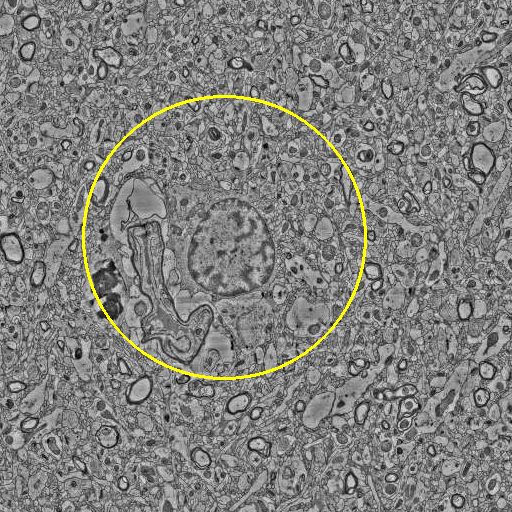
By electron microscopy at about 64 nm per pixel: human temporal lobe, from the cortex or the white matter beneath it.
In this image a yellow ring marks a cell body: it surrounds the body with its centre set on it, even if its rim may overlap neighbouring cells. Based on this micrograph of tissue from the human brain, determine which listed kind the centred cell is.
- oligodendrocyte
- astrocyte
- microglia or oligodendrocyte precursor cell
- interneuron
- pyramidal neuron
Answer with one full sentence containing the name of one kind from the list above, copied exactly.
It is an oligodendrocyte whose body the yellow ring encloses at its centre.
